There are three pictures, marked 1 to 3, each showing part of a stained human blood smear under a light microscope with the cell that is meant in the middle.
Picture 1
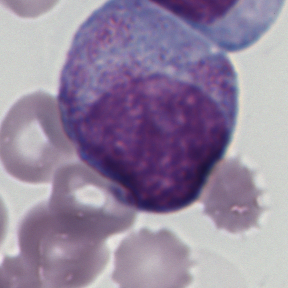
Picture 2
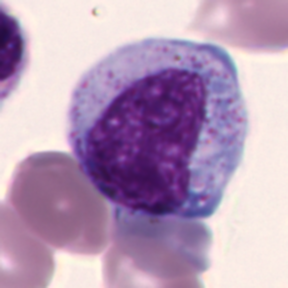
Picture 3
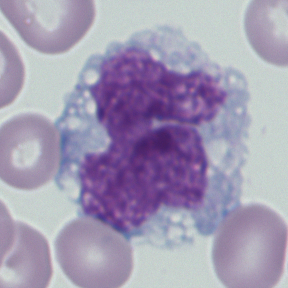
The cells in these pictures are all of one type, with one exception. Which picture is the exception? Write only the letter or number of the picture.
3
